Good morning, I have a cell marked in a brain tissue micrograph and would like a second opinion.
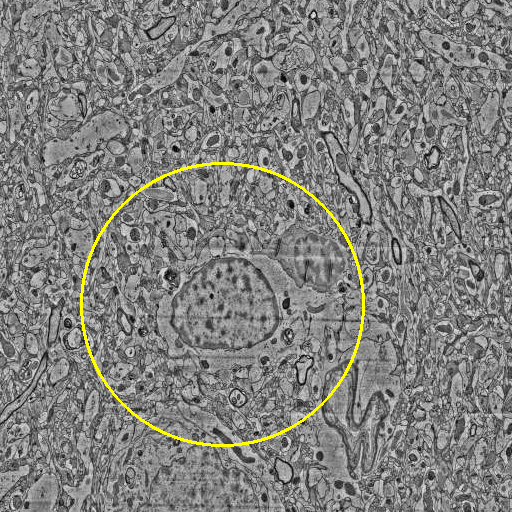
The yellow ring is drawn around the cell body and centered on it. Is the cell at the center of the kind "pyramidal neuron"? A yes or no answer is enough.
no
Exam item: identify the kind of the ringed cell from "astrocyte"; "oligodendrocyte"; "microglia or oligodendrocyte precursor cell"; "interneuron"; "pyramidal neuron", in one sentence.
It is a microglial cell or oligodendrocyte precursor cell that the ring is centred on.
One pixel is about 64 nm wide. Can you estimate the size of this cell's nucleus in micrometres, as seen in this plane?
The ringed cell's nucleus is about 7 micrometres long and 6 micrometres wide in this plane.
